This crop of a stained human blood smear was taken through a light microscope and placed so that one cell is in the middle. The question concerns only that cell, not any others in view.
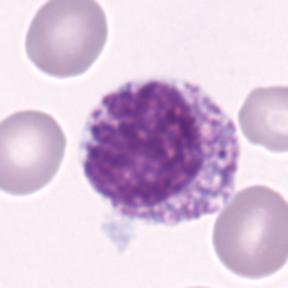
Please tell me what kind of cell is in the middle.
basophil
